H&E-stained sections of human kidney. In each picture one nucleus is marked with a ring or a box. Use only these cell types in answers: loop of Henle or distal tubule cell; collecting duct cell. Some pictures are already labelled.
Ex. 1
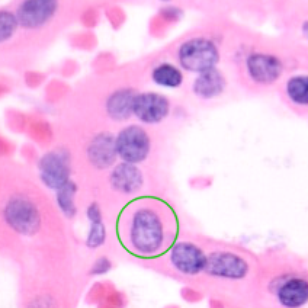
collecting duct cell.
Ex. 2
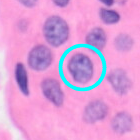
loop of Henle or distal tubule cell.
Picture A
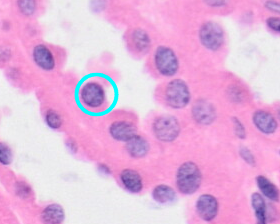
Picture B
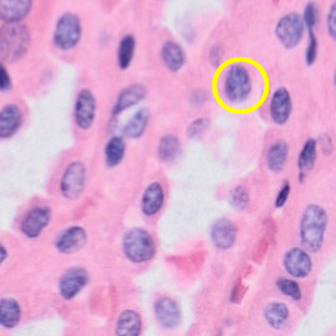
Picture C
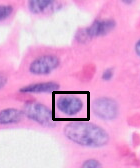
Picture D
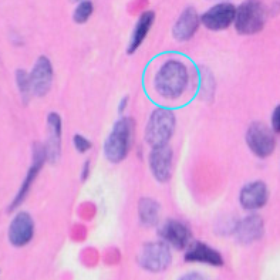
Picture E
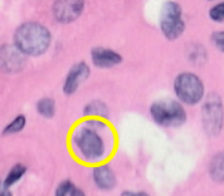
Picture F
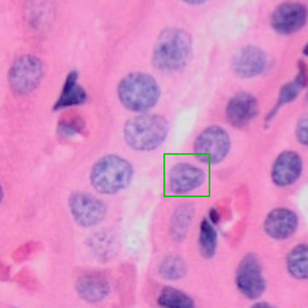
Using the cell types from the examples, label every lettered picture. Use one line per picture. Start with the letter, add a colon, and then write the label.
A: loop of Henle or distal tubule cell.
B: loop of Henle or distal tubule cell.
C: collecting duct cell.
D: collecting duct cell.
E: collecting duct cell.
F: collecting duct cell.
